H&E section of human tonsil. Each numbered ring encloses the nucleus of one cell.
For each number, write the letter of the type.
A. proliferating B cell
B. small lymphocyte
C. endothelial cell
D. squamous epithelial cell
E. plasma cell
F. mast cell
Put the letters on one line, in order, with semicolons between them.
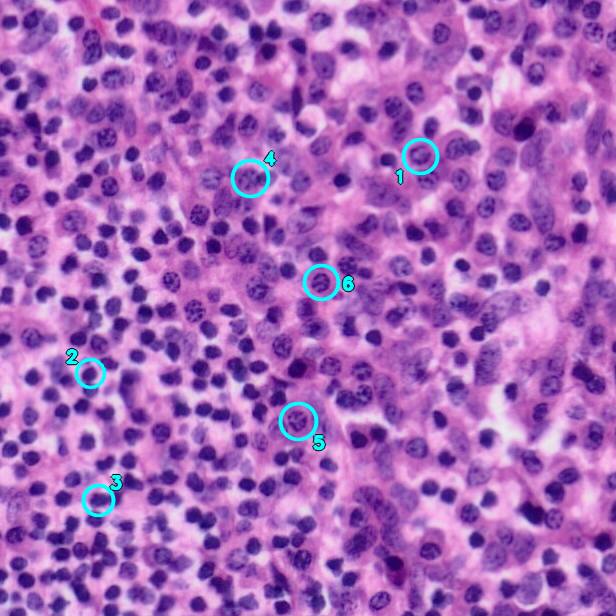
E; B; B; E; E; E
